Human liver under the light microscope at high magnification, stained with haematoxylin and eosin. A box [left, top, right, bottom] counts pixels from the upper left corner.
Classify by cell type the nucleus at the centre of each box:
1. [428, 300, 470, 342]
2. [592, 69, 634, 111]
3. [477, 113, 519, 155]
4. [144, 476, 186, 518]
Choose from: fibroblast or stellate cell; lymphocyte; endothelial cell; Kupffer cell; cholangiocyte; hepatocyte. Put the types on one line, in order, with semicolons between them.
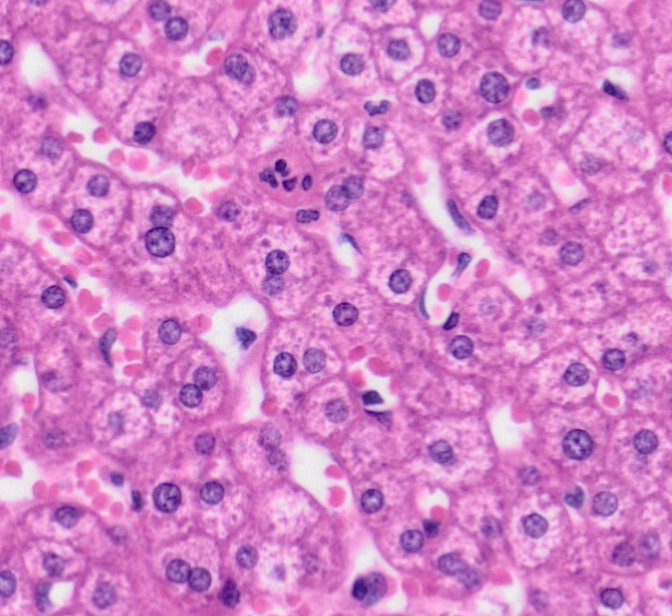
fibroblast or stellate cell; endothelial cell; hepatocyte; hepatocyte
